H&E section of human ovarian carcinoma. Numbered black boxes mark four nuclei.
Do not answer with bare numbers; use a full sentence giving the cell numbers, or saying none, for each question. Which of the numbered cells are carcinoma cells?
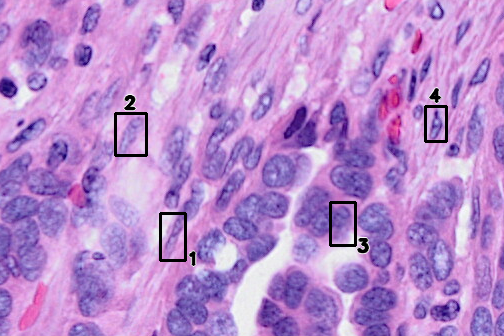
No marked cell except number 3 is a carcinoma cell.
